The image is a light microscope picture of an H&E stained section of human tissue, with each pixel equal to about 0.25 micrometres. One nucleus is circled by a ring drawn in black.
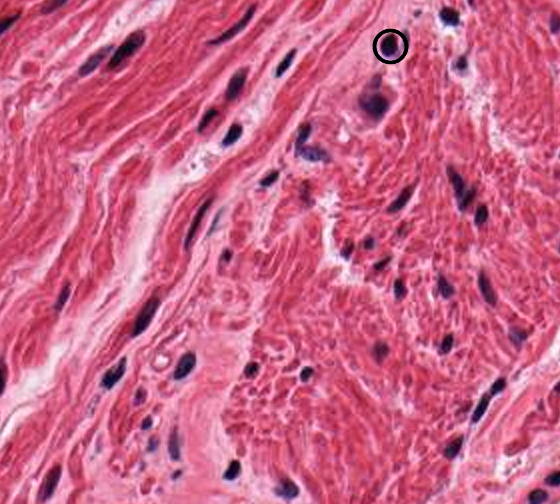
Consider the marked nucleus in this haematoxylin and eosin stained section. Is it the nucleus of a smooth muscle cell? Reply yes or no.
no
